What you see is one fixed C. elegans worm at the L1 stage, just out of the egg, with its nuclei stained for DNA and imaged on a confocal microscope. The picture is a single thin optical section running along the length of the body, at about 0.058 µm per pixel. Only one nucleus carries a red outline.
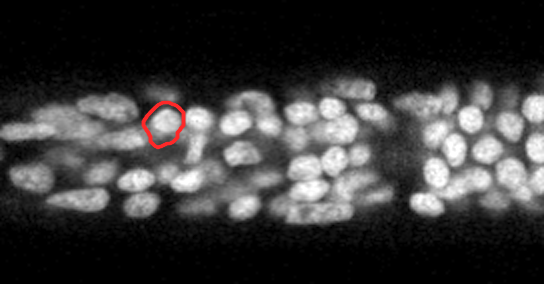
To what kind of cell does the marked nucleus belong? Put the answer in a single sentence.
The marked nucleus is that of a glial cell (sheath or socket).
